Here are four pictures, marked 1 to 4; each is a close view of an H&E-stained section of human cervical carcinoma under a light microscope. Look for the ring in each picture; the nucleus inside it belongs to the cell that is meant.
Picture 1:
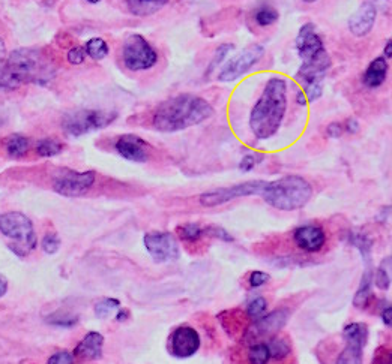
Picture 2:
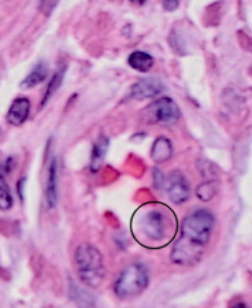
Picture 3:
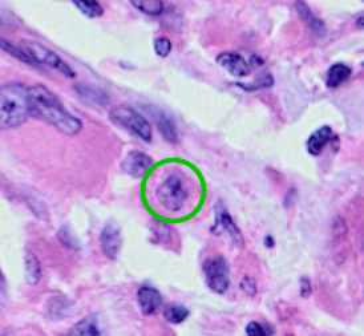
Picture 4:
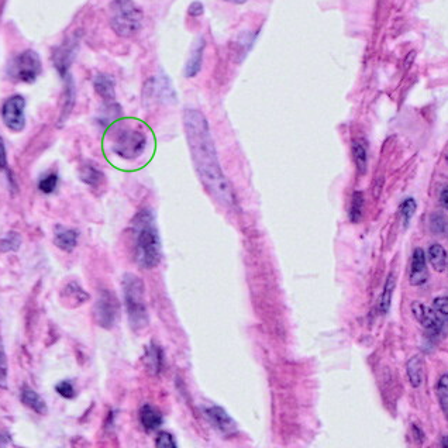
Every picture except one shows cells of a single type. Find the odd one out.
2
